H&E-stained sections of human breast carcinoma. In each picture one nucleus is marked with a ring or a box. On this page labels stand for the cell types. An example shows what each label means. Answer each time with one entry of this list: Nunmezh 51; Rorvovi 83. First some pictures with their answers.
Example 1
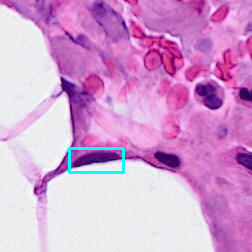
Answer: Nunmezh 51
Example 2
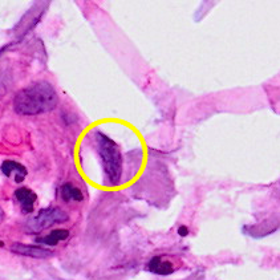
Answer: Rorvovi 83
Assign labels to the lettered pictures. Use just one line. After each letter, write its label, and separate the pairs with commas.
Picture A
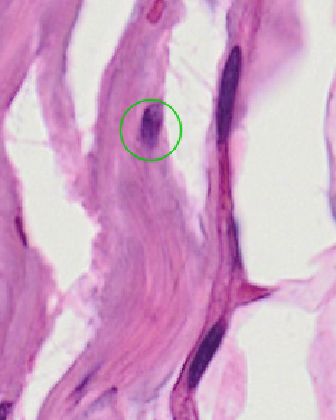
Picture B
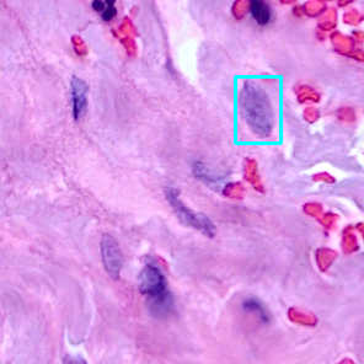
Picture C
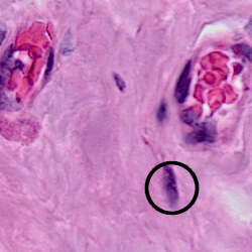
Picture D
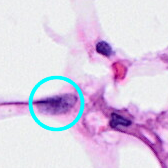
A Rorvovi 83, B Rorvovi 83, C Rorvovi 83, D Rorvovi 83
